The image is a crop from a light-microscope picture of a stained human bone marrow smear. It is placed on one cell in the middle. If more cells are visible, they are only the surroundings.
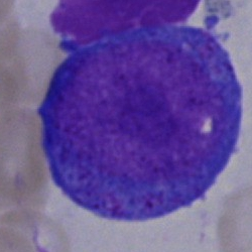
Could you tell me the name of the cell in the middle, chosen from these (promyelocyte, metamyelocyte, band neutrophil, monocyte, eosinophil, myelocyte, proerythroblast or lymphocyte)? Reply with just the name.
proerythroblast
